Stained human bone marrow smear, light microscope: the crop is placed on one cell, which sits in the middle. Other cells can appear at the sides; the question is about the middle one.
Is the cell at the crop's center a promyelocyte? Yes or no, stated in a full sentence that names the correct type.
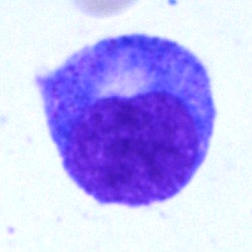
Yes, the cell at the crop's center is a promyelocyte.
